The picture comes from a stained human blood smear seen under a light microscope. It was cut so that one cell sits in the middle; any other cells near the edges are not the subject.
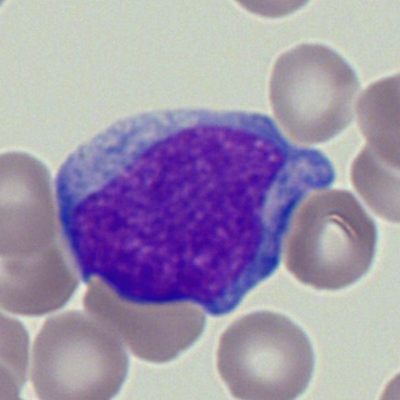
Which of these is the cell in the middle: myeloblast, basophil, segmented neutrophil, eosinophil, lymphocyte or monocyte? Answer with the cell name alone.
myeloblast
